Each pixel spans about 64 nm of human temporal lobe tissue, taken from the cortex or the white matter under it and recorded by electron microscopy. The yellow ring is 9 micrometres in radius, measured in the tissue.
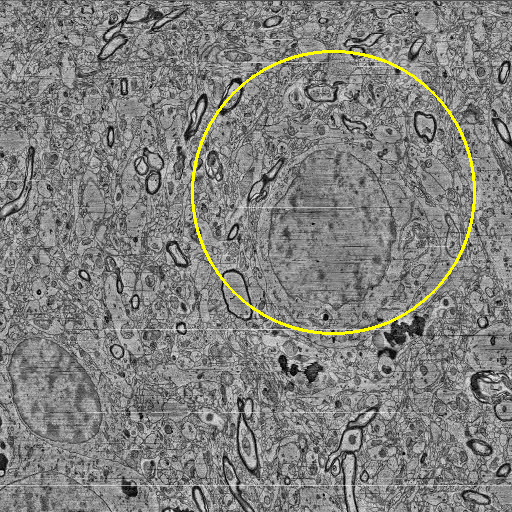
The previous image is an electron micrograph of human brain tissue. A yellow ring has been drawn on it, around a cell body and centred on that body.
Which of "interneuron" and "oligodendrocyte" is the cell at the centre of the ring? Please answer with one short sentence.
The cell body at the centre of the ring belongs to an interneuron.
